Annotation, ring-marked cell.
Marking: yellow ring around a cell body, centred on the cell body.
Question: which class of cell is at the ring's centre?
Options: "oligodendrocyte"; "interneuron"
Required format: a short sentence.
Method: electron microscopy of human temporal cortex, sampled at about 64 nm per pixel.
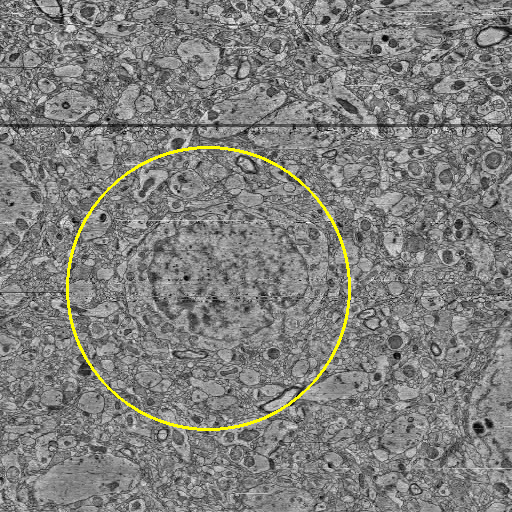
At the ring's centre is an interneuron.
